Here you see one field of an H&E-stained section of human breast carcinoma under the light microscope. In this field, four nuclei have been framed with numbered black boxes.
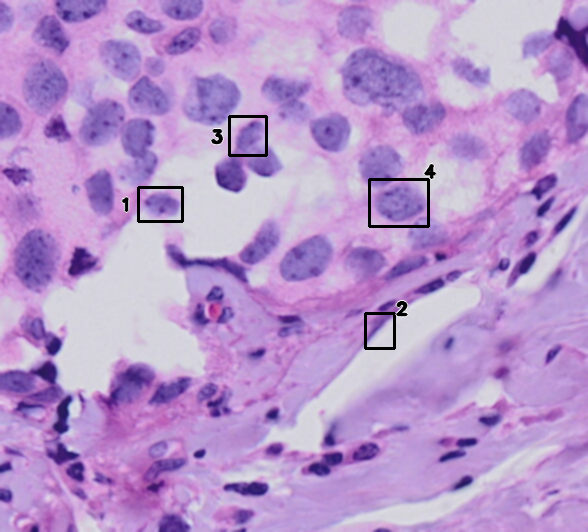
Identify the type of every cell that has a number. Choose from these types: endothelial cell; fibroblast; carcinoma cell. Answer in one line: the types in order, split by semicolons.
carcinoma cell; fibroblast; carcinoma cell; carcinoma cell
